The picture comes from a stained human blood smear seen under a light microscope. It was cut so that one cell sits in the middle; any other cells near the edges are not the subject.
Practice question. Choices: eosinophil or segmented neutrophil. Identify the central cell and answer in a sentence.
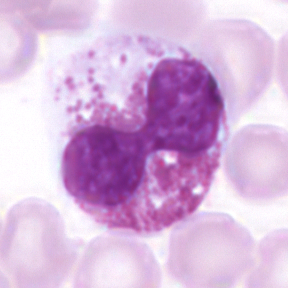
Present in the middle of the crop is an eosinophil.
